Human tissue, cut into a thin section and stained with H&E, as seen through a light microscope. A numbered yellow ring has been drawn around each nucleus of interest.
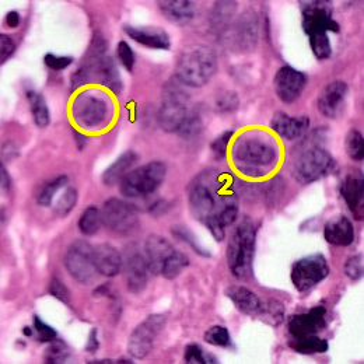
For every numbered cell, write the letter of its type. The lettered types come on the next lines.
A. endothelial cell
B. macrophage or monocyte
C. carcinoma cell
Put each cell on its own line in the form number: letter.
1: B
2: C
